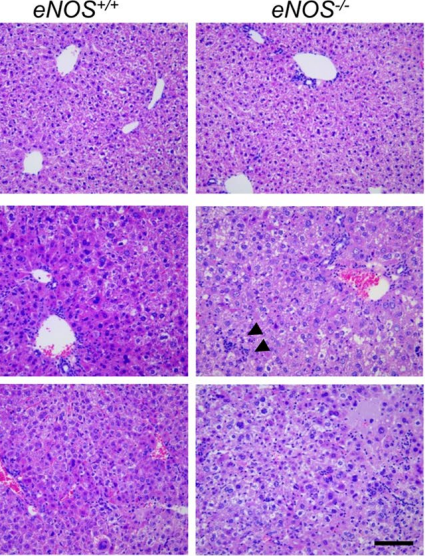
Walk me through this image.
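Six fields of liver parenchyma stained pink and purple, with hepatocytes arranged in cords around central veins and portal spaces, seen as round or irregular white lumina. In the upper fields the hepatocytes have uniform pink cytoplasm and round central nuclei. In several lower fields many hepatocytes appear pale and cleared, with vacuolated cytoplasm, and some vessels are packed with red blood cells. Small clusters of tightly packed, small dark-staining nuclei lie between the hepatocyte cords, marking inflammatory foci, one of them pointed out by arrowheads.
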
